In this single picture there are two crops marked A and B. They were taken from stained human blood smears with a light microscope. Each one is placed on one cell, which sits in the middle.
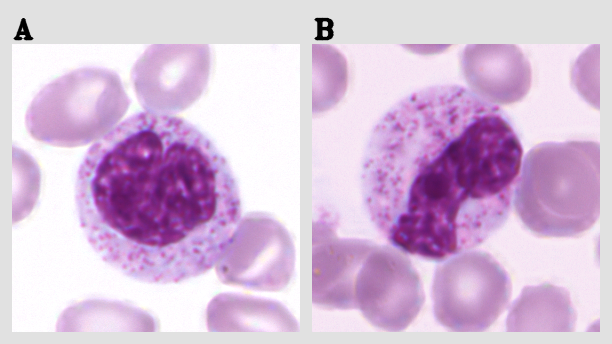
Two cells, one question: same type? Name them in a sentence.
Yes, the middle cells in the two crops are band neutrophils.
